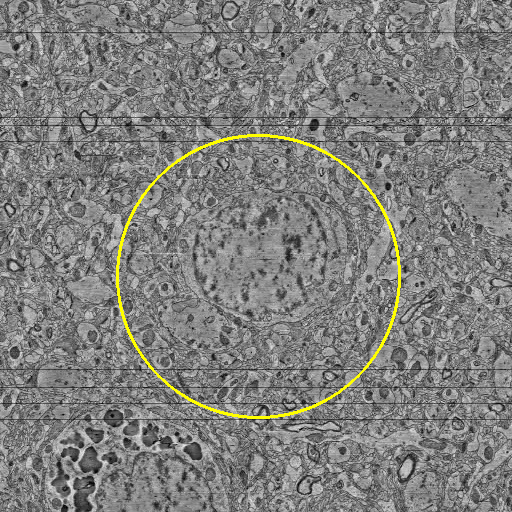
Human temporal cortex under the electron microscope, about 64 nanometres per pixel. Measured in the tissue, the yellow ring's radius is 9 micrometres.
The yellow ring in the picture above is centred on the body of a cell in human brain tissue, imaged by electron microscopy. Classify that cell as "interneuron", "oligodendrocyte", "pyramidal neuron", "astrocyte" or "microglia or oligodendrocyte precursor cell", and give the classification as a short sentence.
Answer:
The cell in the middle of the ring is an interneuron.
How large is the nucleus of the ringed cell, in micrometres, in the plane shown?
Approximately 9 micrometres across, in this plane.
